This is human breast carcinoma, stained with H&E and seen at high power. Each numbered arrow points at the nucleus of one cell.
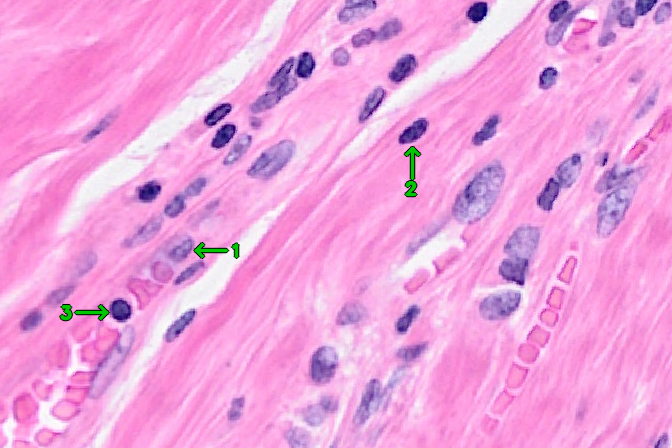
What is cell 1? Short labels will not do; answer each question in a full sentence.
It is as an endothelial cell that the cell numbered 1 is identified.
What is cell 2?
Cell 2 in the field is a lymphocyte.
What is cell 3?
Heads up, the cell numbered 3 is a lymphocyte.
